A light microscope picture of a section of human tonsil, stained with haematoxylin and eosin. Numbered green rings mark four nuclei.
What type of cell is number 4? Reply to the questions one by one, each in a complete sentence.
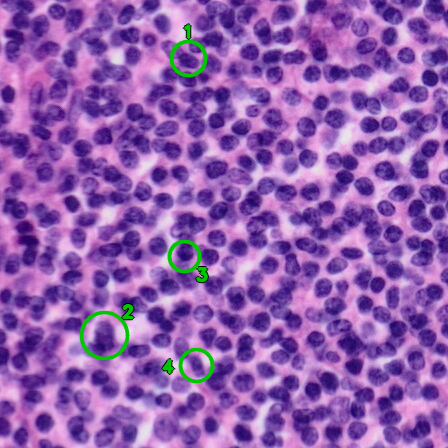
Cell 4, as marked in the section, is a small lymphocyte.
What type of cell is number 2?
That cell with number 2 is a proliferating B cell.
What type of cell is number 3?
The cell that goes by number 3 is a small lymphocyte.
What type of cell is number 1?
In the marked set, the cell given number 1 is a small lymphocyte.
